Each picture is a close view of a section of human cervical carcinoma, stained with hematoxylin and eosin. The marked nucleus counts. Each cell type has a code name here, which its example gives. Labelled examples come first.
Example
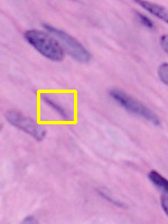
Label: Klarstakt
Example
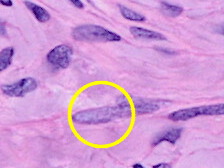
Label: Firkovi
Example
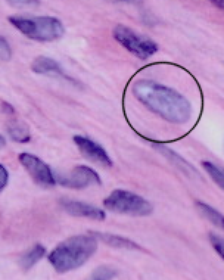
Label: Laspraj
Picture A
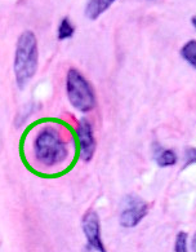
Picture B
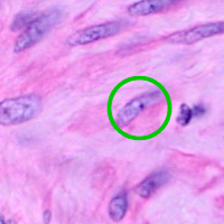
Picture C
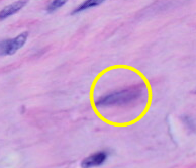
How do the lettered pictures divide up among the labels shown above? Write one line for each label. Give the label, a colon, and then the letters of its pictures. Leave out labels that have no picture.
Firkovi: B, C
Laspraj: A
